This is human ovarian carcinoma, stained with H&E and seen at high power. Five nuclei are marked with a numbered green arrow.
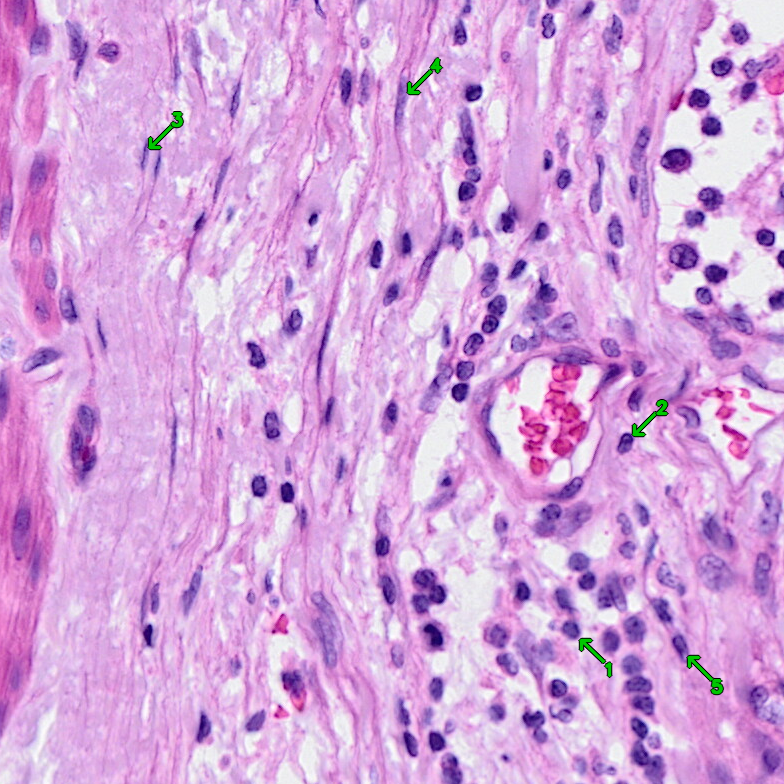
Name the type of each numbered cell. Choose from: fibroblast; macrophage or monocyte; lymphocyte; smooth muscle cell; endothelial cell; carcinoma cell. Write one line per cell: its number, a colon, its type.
1: lymphocyte
2: lymphocyte
3: fibroblast
4: fibroblast
5: lymphocyte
